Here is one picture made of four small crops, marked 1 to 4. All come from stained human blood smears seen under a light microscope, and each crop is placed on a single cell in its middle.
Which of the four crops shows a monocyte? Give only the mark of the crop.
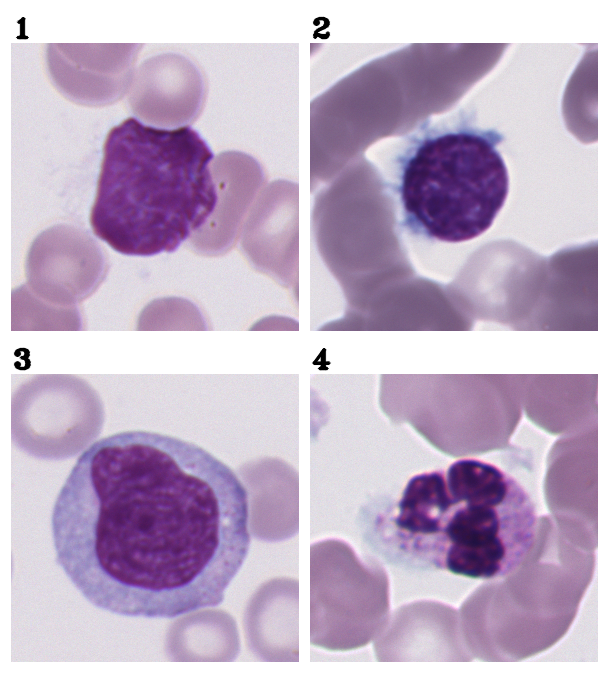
3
